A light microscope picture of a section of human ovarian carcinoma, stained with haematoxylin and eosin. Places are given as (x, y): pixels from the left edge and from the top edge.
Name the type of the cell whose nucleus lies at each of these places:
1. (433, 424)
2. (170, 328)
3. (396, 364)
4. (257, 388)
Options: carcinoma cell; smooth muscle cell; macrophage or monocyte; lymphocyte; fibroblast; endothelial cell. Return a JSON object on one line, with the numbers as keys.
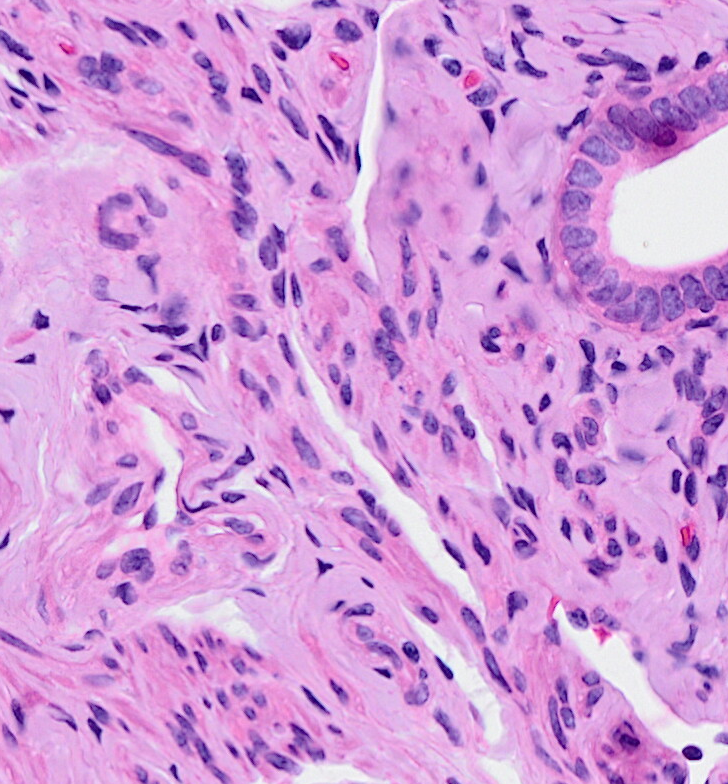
{"1": "smooth muscle cell", "2": "fibroblast", "3": "smooth muscle cell", "4": "smooth muscle cell"}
